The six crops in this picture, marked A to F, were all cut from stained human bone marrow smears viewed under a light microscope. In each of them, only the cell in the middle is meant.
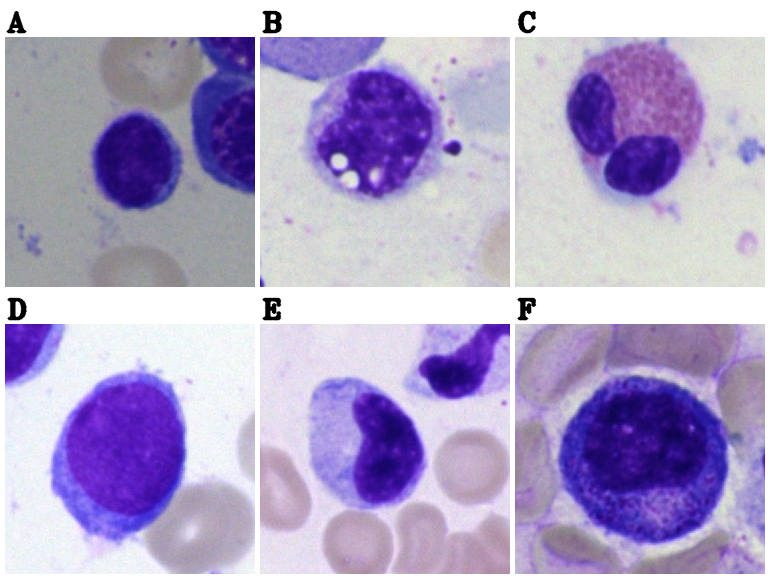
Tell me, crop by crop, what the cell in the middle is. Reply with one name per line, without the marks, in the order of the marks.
lymphocyte
metamyelocyte
eosinophil
blast
metamyelocyte
promyelocyte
